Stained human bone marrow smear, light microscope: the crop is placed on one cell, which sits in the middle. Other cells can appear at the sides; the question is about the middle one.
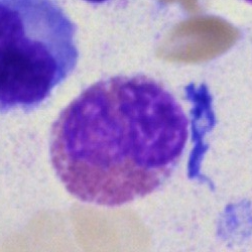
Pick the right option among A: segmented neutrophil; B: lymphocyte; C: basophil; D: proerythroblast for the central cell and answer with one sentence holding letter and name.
That cell in the center is a basophil, hence option C.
